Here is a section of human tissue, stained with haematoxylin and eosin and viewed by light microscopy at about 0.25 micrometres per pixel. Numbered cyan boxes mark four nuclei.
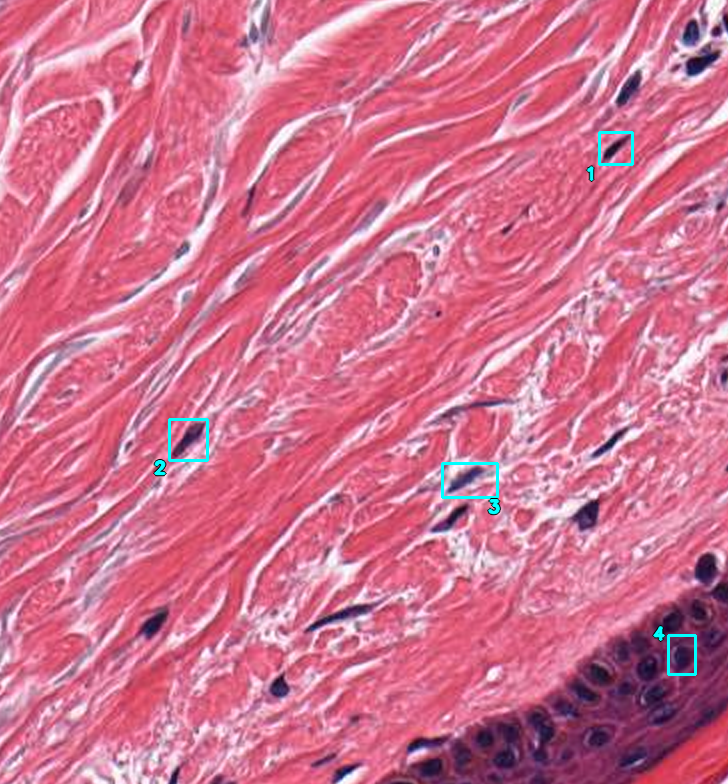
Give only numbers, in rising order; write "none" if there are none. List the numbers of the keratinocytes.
4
